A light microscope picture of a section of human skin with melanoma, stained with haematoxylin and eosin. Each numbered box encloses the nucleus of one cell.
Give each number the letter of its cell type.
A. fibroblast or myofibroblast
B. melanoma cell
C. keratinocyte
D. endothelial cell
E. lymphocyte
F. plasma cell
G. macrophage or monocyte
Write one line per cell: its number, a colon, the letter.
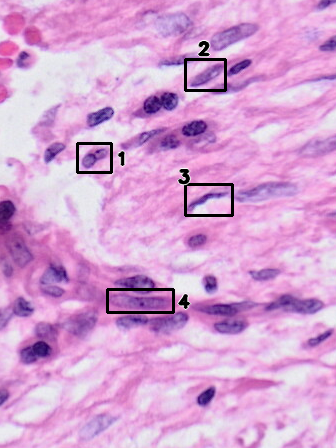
1: G
2: A
3: A
4: D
